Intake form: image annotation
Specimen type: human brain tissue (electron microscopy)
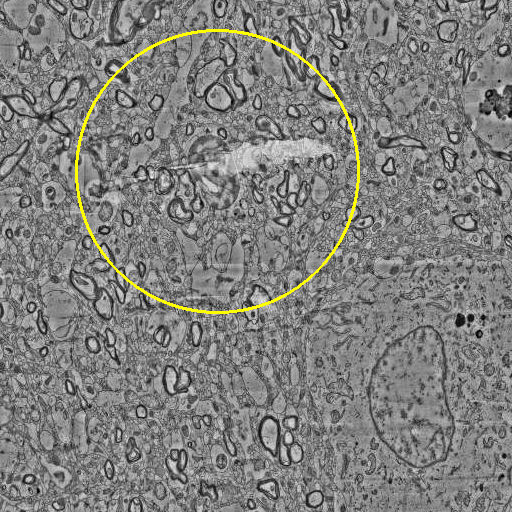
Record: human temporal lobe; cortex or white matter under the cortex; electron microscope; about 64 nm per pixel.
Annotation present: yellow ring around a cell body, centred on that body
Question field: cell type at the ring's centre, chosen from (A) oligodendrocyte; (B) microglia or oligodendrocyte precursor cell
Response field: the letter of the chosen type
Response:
B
